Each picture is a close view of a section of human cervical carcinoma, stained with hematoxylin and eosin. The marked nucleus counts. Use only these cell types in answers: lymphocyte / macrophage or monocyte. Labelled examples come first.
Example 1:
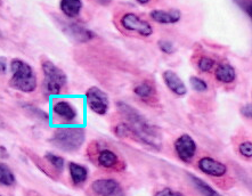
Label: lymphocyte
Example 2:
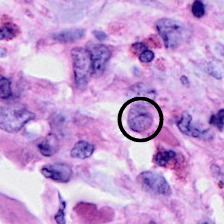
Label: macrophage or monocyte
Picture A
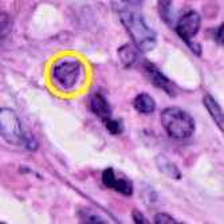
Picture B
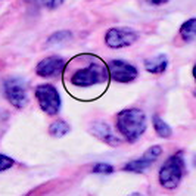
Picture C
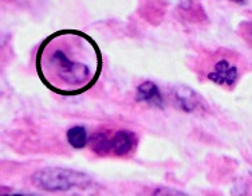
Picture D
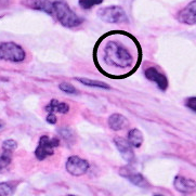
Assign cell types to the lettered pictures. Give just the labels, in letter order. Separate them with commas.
macrophage or monocyte, lymphocyte, macrophage or monocyte, macrophage or monocyte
